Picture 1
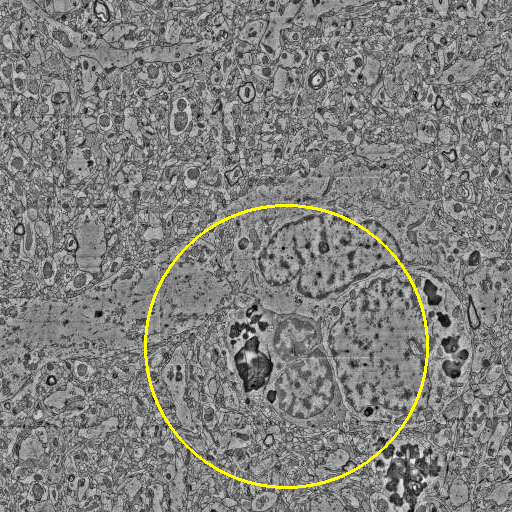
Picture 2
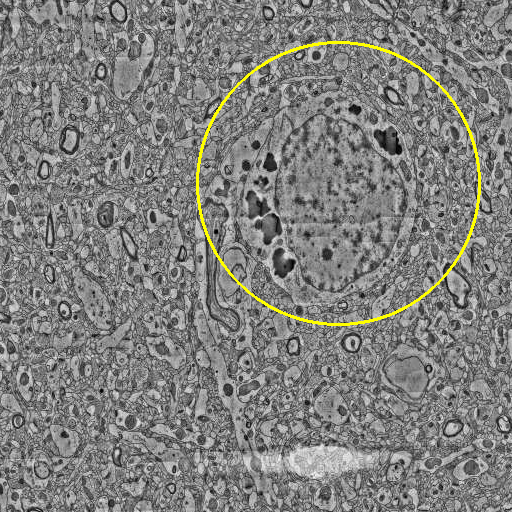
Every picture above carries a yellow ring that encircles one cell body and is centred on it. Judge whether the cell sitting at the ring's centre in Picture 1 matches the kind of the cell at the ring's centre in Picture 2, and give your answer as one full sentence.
No, the cells centred in the rings of Pictures 1 and 2 belong to two kinds.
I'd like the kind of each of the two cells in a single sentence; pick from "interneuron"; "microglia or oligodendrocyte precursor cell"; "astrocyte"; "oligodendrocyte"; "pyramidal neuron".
The first ring marks an oligodendrocyte, and the second ring marks an interneuron.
